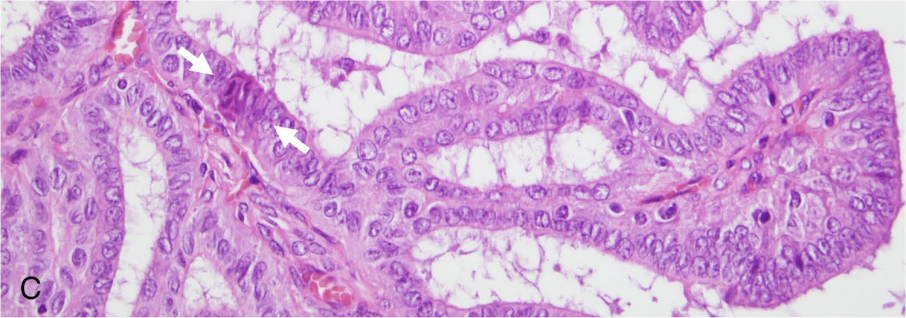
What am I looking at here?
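Tumor tissue of papillary architecture, with elongated fronds lined by one to several layers of columnar to cuboidal epithelial cells around thin fibrovascular cores holding red blood cells. The nuclei are oval, vesicular and crowded, some overlapping, with small nucleoli and fine chromatin. The cytoplasm is pale pink, and the spaces between fronds hold pale, wispy material. A small crowded cluster of darker cells sits at the base of one frond.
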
